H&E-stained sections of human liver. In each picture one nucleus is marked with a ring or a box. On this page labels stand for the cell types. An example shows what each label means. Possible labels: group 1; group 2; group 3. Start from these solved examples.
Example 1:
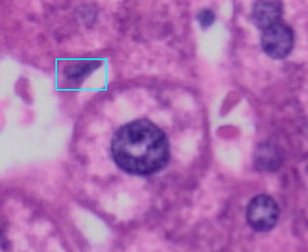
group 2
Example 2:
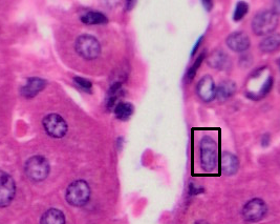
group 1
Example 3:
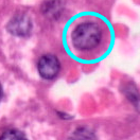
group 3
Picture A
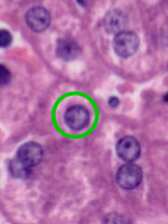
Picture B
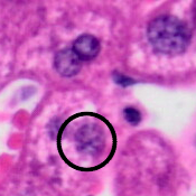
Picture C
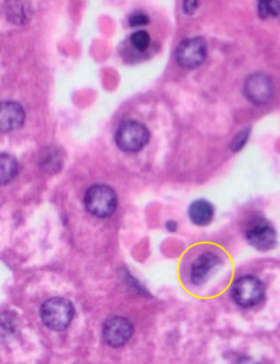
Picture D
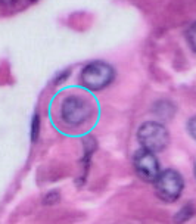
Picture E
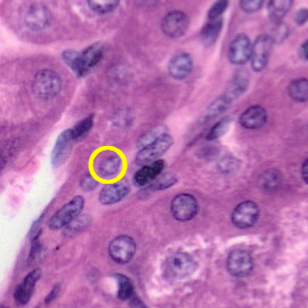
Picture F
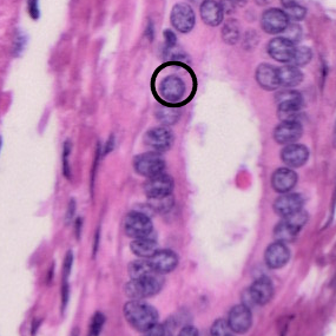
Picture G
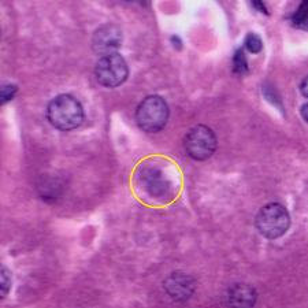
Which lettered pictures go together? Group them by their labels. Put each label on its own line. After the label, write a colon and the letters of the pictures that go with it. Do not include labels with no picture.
group 1: D, E, F
group 2: C, G
group 3: A, B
